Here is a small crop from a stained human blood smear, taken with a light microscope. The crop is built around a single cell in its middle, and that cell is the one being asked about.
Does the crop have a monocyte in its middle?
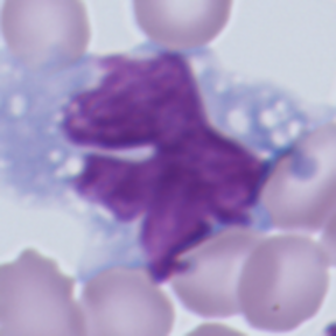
yes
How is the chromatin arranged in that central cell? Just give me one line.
What stands out is fine chromatin lacking any coarse clumps.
